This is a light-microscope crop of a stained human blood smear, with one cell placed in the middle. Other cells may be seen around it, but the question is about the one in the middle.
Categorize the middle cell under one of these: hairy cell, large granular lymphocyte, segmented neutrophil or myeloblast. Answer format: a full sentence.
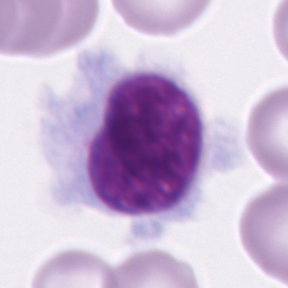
The cell around which this crop is centred is a hairy cell.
